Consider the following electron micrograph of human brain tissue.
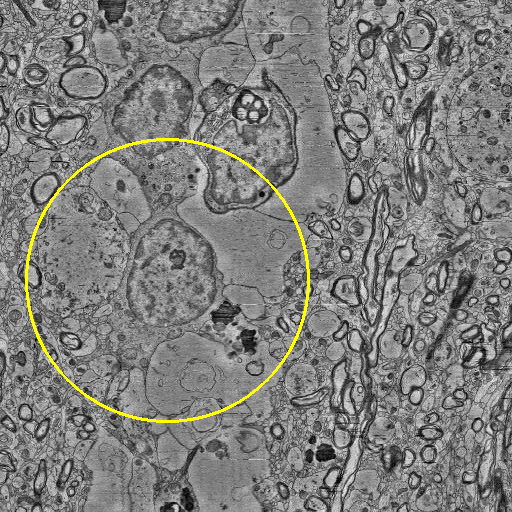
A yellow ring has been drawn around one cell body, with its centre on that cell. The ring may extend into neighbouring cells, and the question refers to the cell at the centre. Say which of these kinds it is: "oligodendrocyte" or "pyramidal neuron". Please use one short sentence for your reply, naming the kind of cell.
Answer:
The centre of the ring falls on an oligodendrocyte.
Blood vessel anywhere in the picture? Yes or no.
Yes, one appears.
